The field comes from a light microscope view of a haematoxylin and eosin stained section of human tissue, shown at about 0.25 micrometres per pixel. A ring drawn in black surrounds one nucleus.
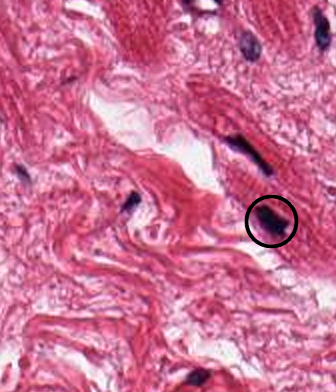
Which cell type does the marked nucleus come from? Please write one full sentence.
The nucleus indicated by the mark belongs to a cardiomyocyte.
